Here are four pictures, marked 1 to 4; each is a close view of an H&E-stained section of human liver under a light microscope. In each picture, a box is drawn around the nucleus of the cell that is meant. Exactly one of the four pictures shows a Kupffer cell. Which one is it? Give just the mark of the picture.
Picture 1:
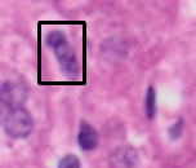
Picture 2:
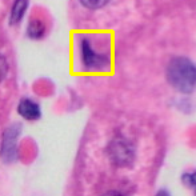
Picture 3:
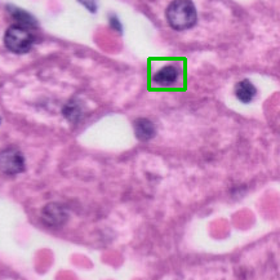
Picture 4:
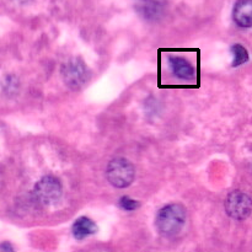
1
